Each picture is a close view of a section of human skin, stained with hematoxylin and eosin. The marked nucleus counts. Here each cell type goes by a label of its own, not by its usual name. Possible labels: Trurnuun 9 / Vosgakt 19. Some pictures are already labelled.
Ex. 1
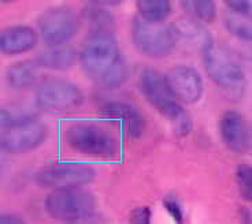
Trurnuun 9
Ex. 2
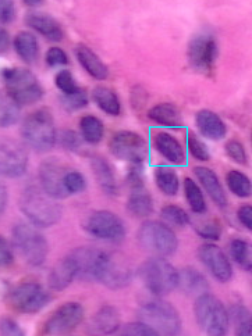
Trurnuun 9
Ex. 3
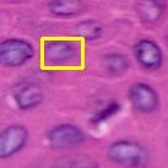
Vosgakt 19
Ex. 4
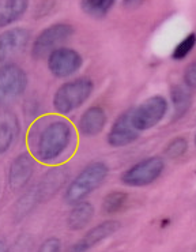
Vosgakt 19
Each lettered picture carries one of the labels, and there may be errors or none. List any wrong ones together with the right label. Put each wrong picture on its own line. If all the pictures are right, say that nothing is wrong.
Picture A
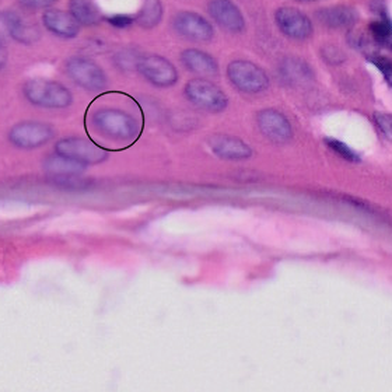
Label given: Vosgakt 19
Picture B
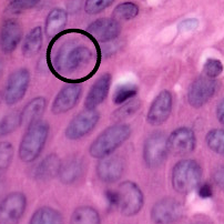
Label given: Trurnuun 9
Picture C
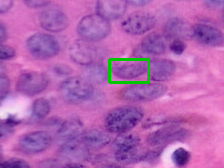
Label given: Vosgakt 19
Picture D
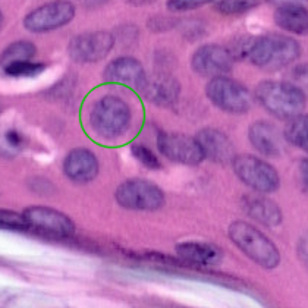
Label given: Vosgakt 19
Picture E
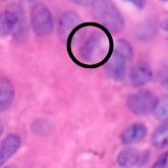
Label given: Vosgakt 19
C: change Vosgakt 19 to Trurnuun 9
E: change Vosgakt 19 to Trurnuun 9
